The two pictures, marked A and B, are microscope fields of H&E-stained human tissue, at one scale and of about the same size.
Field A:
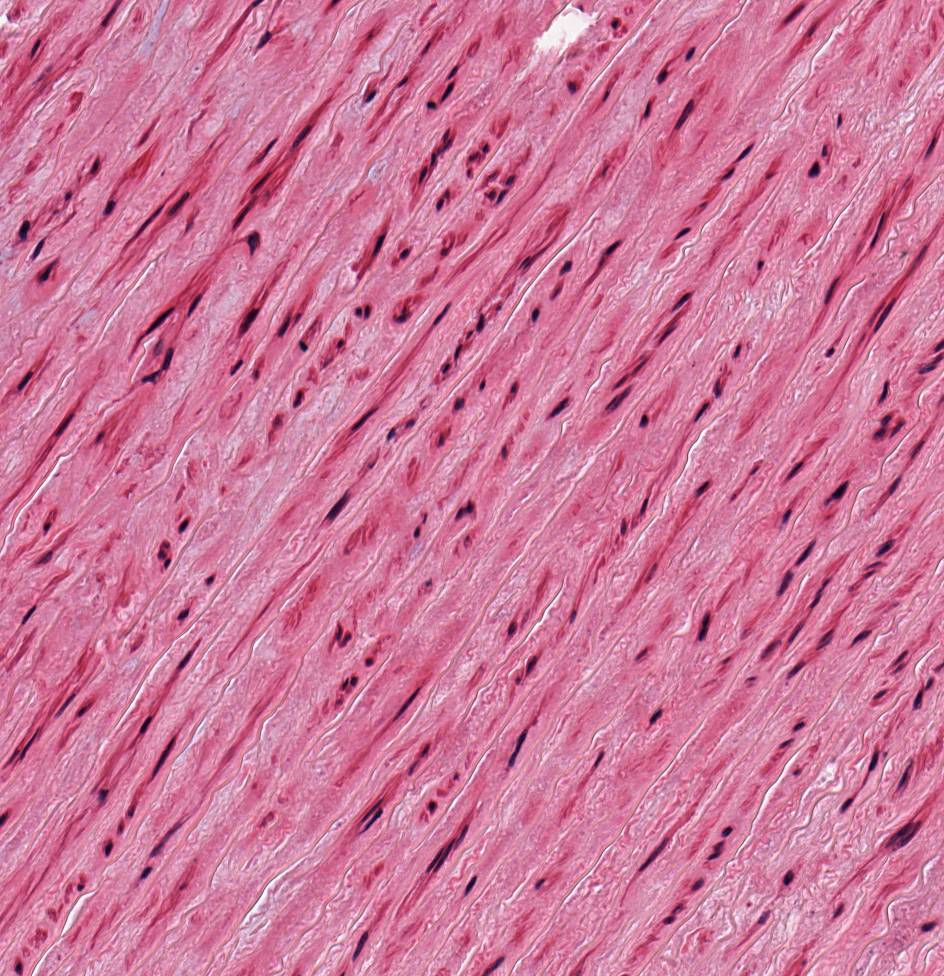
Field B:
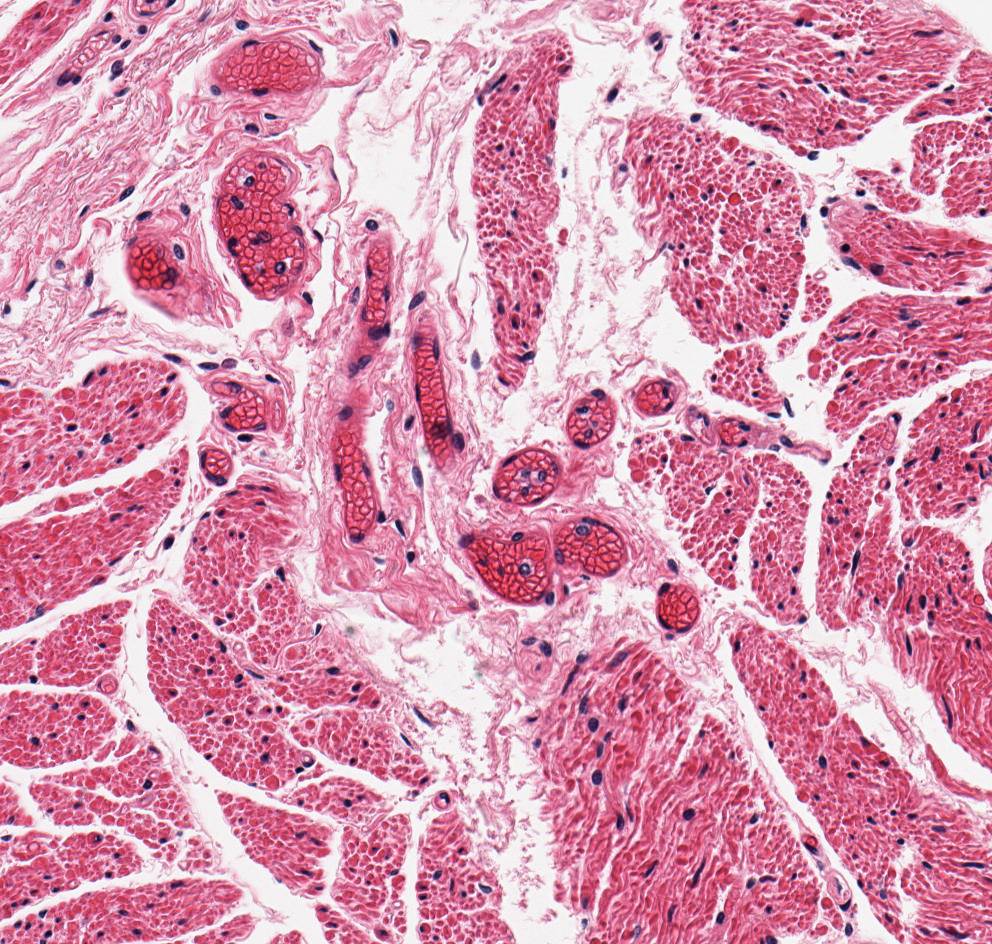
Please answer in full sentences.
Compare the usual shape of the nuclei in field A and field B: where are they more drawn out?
It is field A whose nuclei are the more elongated.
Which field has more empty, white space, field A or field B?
Field B has more white space.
